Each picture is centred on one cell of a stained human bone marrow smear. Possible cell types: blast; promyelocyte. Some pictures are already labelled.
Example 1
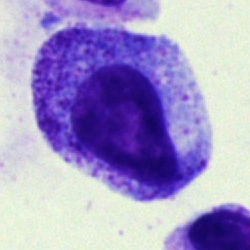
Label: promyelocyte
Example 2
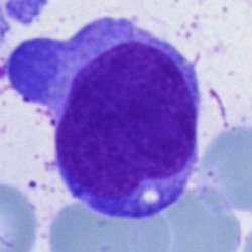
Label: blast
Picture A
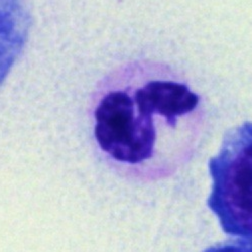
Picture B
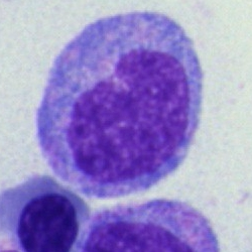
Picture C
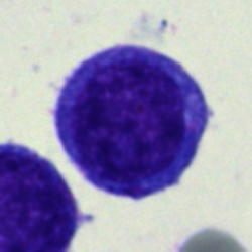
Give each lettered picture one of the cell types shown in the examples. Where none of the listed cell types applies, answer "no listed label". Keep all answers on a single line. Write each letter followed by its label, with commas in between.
A no listed label, B promyelocyte, C blast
